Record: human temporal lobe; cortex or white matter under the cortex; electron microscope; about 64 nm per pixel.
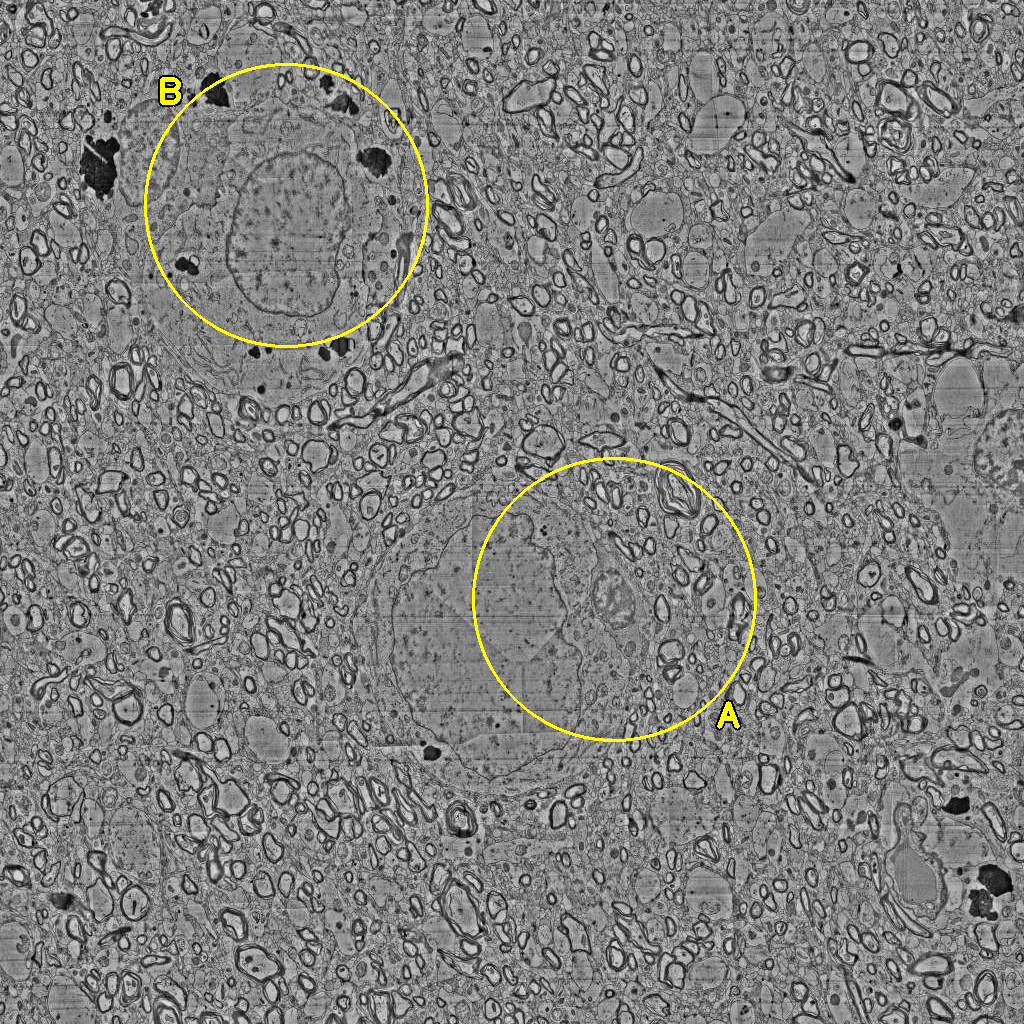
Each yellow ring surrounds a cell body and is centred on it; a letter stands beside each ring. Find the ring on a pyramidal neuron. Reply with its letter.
B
